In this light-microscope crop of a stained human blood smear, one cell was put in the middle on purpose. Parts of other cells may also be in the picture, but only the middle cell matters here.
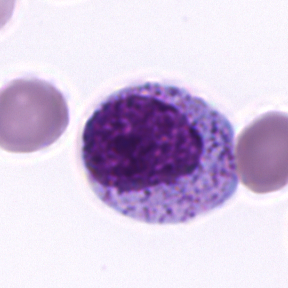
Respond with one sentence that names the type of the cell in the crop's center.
The cell marked by its central position in the crop is a myelocyte.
